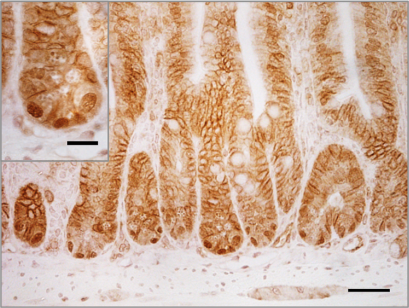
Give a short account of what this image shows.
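This is a section of small intestine. It shows the bases of the crypts lying side by side above a thin layer of pale connective tissue. The columnar epithelial cells have strong brown staining along their cell borders, which outlines each cell in a honeycomb or ladder-like pattern. Scattered round, clear vacuoles interrupt the epithelium. In the inset, a crypt base shows cells arranged around a small lumen, and some of the cells there have diffuse brown cytoplasm.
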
